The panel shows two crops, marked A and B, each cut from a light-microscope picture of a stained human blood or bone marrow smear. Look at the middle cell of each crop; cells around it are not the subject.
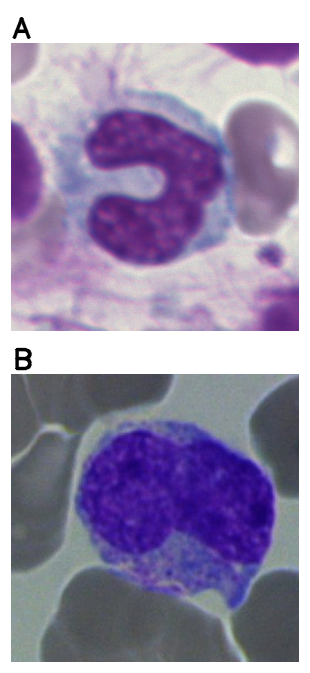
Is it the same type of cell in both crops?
yes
